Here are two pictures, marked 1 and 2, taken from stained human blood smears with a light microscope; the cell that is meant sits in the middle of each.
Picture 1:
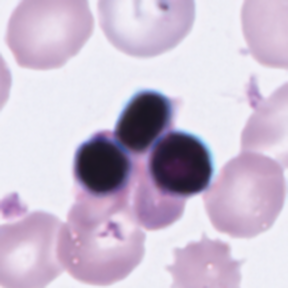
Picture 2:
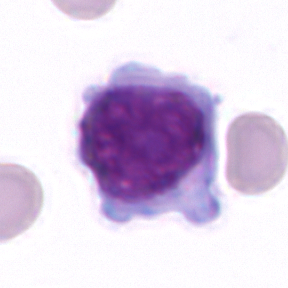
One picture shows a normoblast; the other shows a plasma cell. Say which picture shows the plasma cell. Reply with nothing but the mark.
2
